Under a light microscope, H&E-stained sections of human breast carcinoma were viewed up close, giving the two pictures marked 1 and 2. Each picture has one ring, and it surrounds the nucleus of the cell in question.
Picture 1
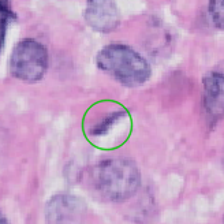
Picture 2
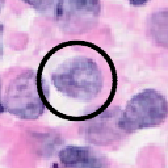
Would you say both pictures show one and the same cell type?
no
